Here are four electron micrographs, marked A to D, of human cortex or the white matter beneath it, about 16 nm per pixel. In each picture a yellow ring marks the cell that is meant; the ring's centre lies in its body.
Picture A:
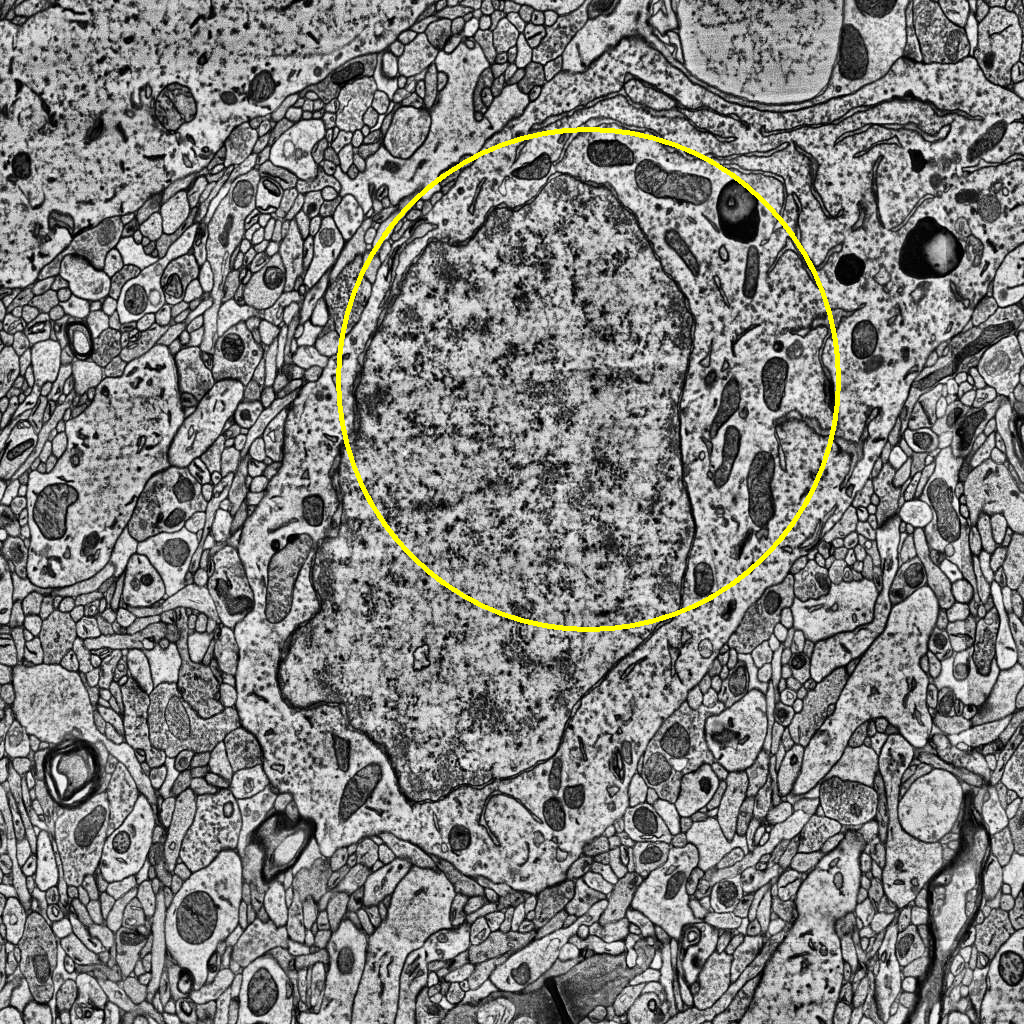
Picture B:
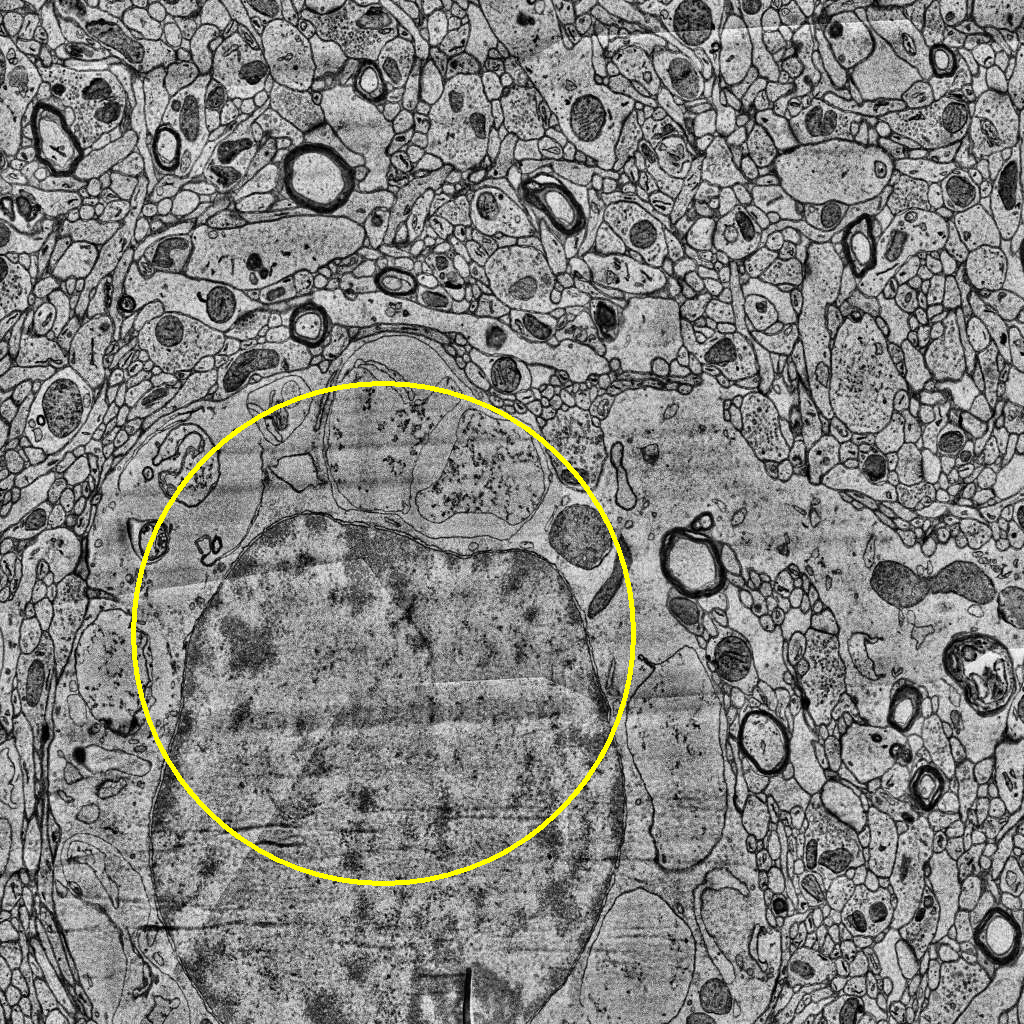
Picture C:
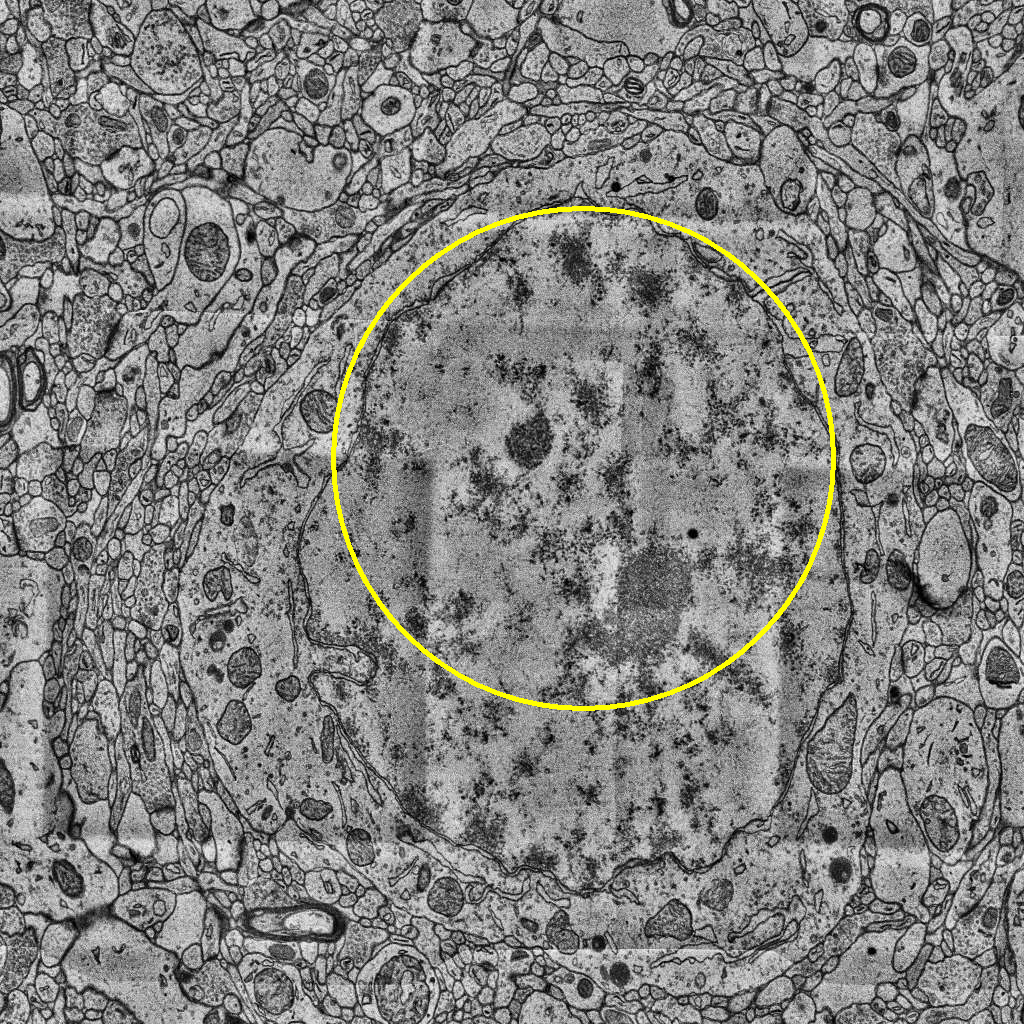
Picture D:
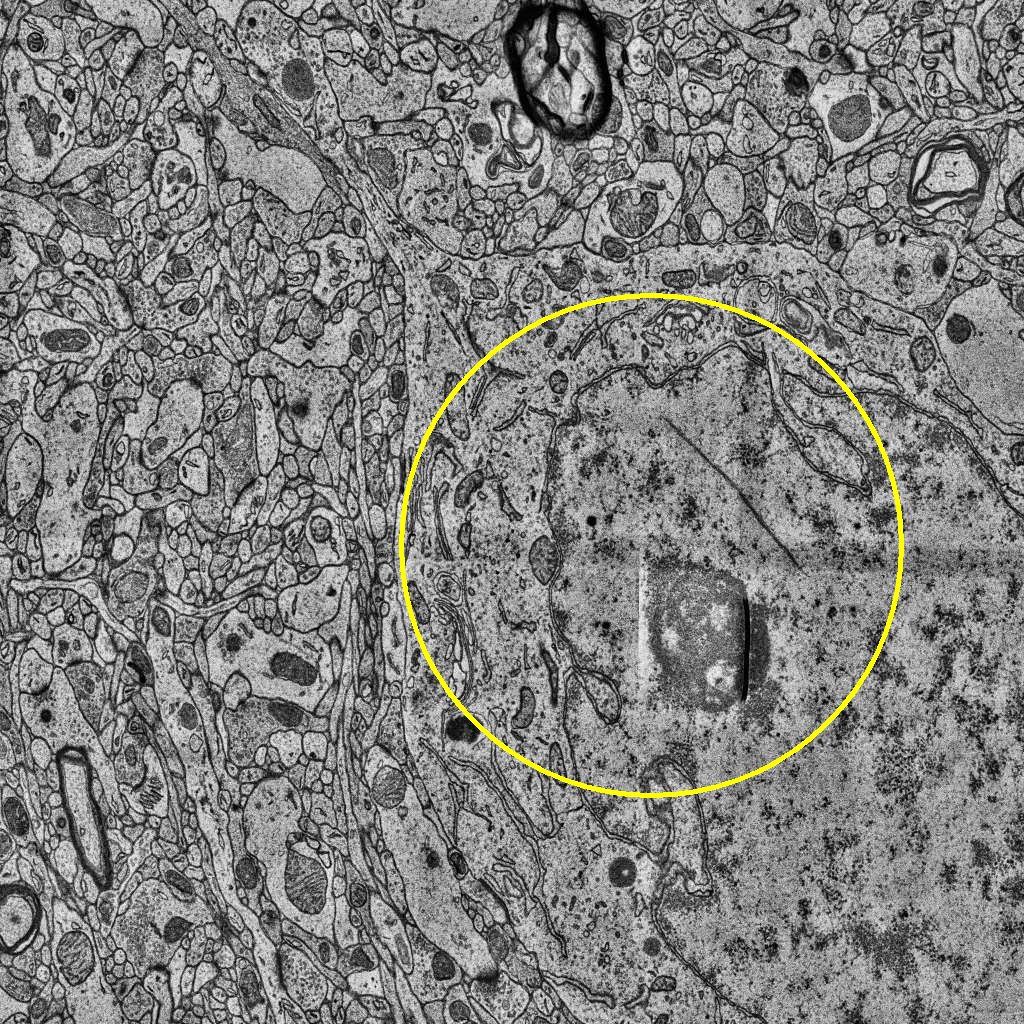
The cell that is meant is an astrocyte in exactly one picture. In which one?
The cell in picture B is the astrocyte.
